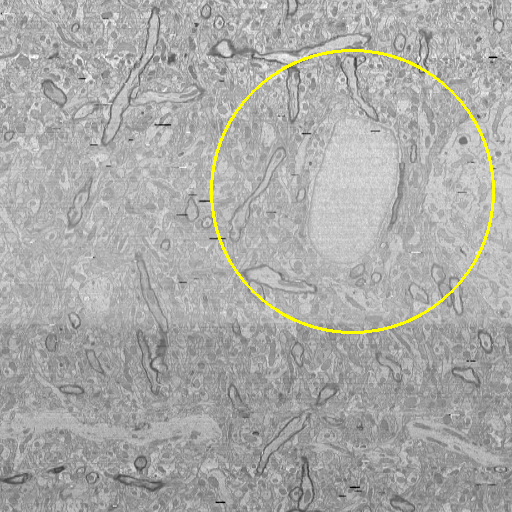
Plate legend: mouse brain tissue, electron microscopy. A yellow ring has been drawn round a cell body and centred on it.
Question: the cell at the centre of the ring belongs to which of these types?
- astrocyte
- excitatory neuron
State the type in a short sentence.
The cell in the middle of the ring is an astrocyte.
